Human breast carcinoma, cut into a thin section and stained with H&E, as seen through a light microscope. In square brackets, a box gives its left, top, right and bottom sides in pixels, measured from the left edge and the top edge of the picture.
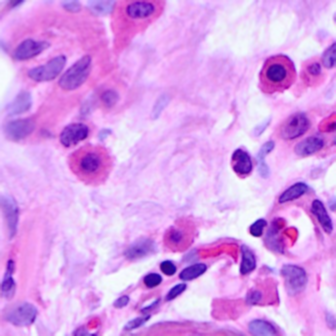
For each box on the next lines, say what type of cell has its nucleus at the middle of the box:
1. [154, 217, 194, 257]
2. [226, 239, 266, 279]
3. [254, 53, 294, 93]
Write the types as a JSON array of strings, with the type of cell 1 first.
["mast cell", "endothelial cell", "mast cell"]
